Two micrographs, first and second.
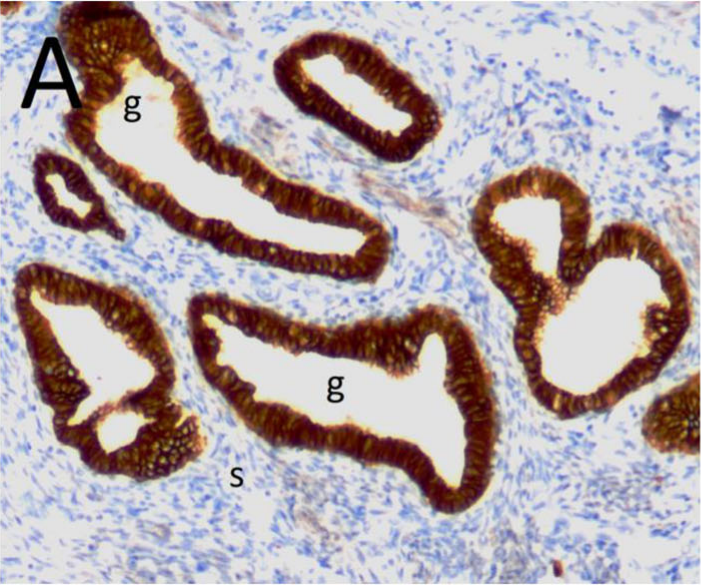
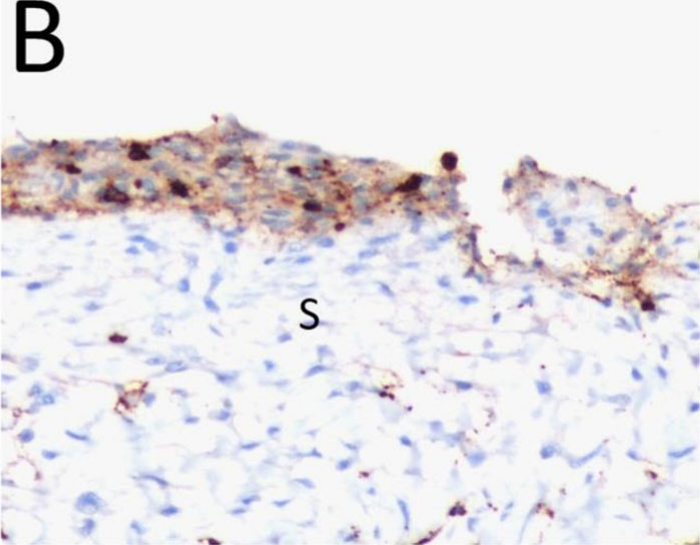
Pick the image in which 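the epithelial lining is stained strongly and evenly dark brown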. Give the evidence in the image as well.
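Second image: the surface lining shows a pale, patchy brown tint with scattered dark dots. First image: every lining cell of the glands is intensely dark brown. On this evidence: the first image.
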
